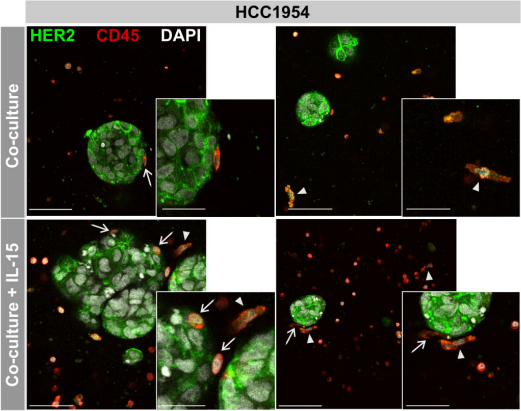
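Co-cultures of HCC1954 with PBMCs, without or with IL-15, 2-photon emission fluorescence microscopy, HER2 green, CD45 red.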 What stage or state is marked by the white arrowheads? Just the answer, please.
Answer: elongated morphology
